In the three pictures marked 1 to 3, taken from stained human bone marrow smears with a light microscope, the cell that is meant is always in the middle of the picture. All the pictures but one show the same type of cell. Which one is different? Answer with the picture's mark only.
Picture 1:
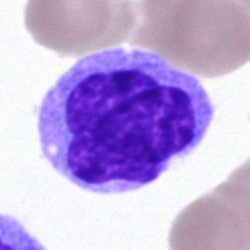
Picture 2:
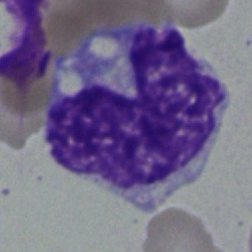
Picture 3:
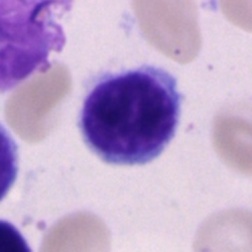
3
